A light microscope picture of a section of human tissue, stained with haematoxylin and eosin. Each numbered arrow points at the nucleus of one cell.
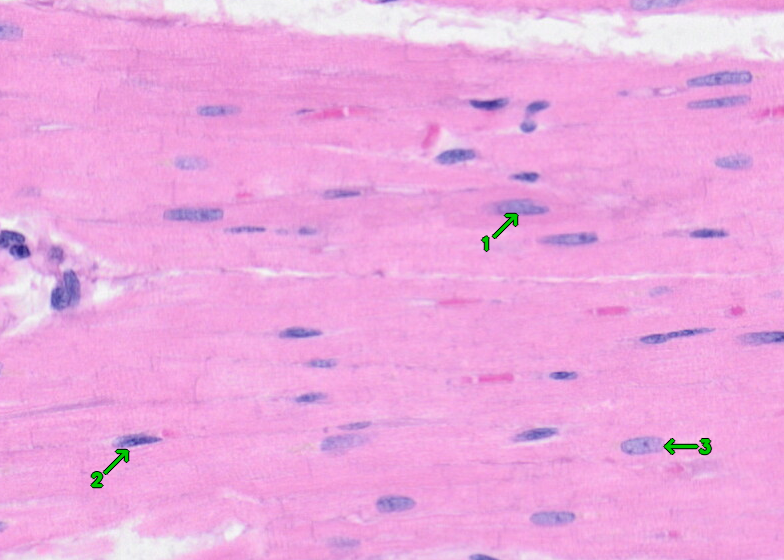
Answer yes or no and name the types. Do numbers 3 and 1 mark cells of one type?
Yes, that is correct, cells 3 and 1 are both cardiomyocytes.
